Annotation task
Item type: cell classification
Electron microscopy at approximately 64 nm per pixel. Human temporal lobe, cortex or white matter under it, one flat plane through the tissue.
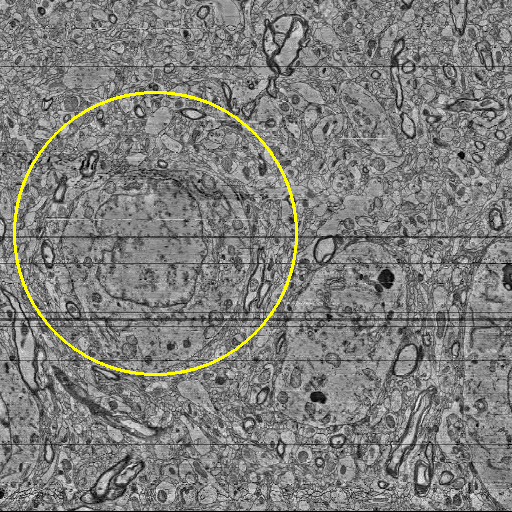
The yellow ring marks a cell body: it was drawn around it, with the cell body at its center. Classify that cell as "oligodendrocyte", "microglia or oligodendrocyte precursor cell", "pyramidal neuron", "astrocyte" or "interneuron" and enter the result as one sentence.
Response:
The ring's center falls on a pyramidal neuron.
